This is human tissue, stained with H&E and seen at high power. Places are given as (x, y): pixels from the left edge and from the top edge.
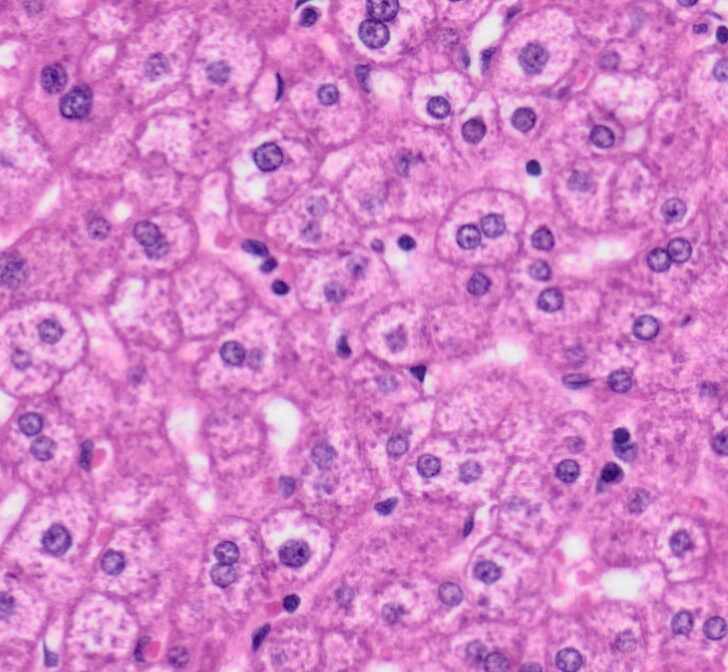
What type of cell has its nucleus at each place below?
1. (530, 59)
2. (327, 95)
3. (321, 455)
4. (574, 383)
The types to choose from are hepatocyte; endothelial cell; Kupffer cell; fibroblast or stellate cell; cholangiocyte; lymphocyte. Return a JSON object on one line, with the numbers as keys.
{"1": "hepatocyte", "2": "hepatocyte", "3": "hepatocyte", "4": "endothelial cell"}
